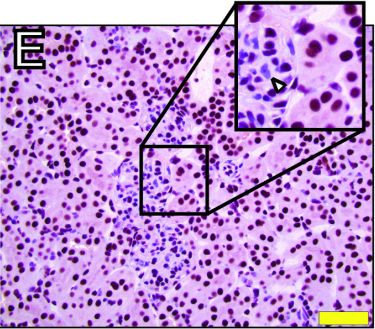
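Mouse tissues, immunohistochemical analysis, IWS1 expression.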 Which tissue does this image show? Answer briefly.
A: Renal cortex.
